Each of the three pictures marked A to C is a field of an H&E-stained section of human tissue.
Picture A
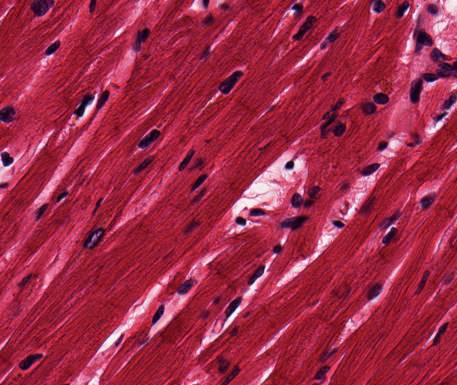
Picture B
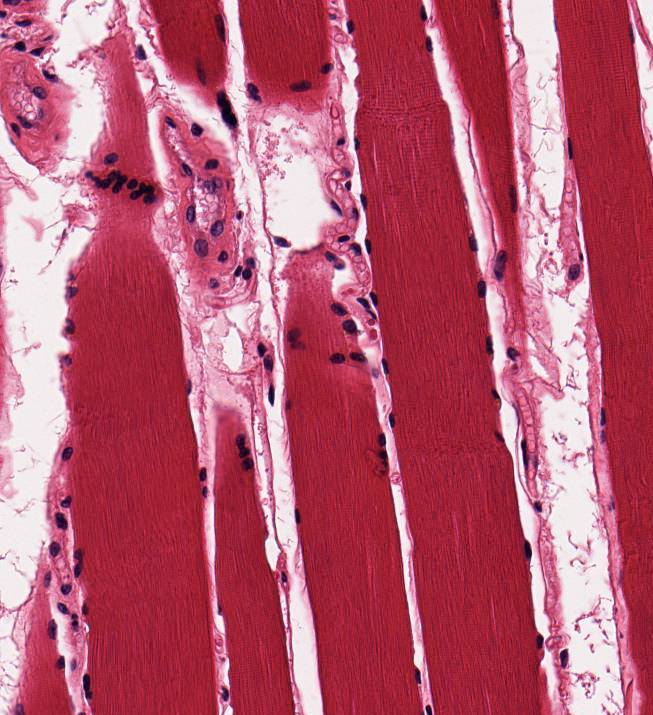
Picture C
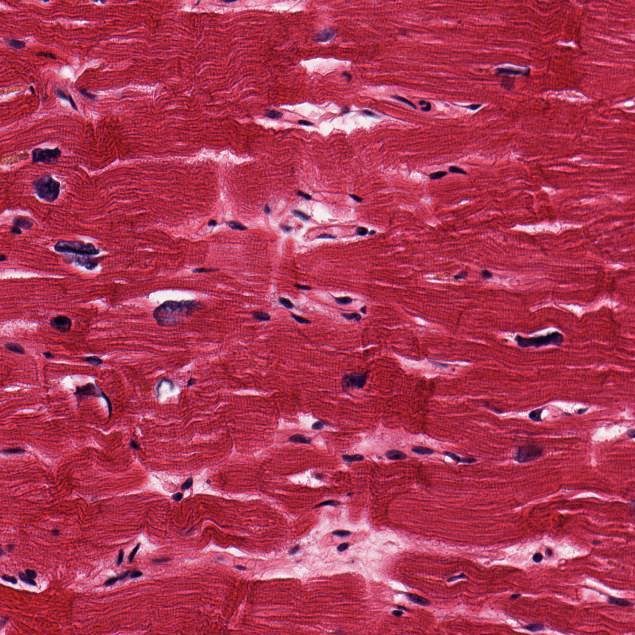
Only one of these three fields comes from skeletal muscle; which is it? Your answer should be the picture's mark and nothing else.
B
